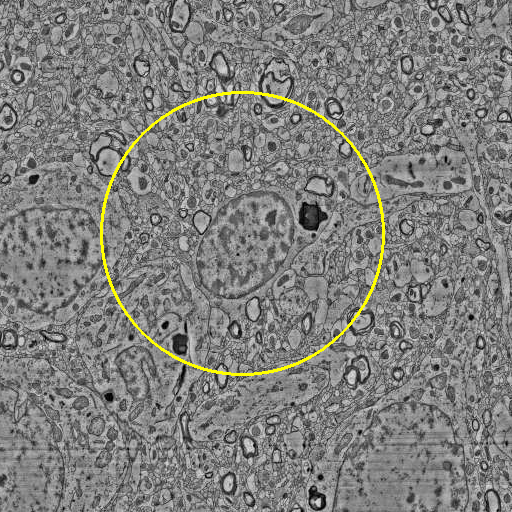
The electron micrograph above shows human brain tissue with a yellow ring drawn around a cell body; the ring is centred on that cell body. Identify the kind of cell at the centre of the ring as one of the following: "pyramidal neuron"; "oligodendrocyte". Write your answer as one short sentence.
The cell at the centre of the ring is an oligodendrocyte.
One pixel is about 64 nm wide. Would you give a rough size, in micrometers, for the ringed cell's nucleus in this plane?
Roughly 8 by 5 micrometres is the size of the nucleus in this plane.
